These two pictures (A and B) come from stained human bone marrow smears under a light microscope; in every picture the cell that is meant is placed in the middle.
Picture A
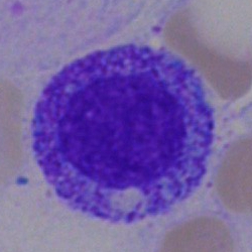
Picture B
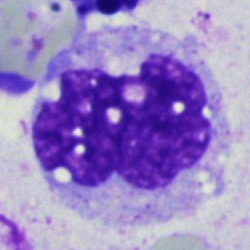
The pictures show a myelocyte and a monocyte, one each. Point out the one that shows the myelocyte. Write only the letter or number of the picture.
A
